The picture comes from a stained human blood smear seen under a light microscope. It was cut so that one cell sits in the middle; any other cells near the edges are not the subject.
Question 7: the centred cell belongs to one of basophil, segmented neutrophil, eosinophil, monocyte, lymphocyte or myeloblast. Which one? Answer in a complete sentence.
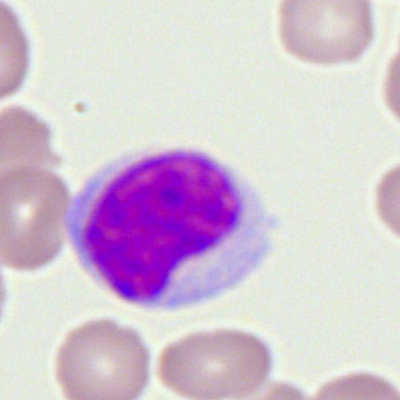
This crop's central cell is a lymphocyte.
